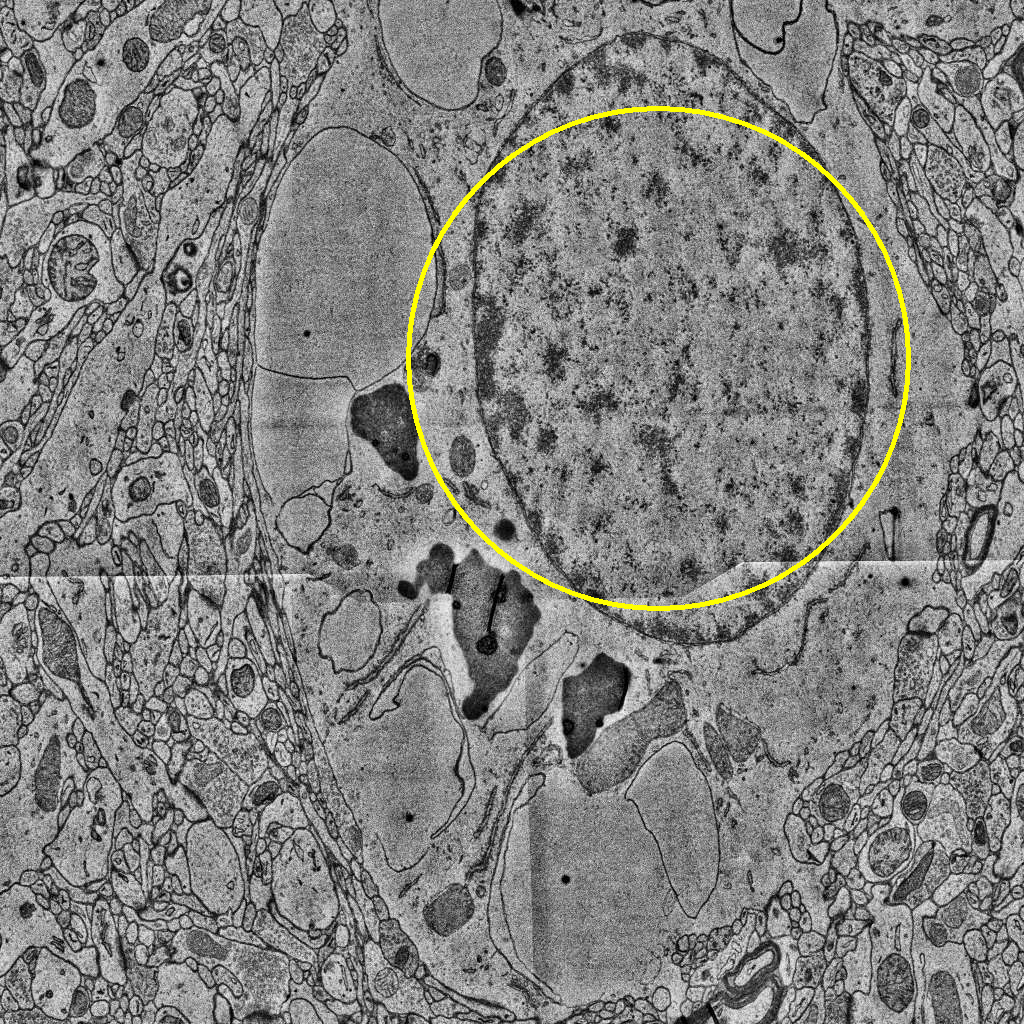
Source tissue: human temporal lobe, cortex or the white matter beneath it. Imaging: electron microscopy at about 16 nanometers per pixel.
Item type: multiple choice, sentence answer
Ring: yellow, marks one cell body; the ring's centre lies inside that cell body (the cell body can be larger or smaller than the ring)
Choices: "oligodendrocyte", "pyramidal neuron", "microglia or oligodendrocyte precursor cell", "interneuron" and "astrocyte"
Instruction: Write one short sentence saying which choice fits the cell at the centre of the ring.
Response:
The centre of this ring lies on an astrocyte.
